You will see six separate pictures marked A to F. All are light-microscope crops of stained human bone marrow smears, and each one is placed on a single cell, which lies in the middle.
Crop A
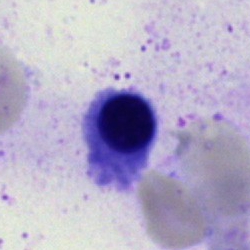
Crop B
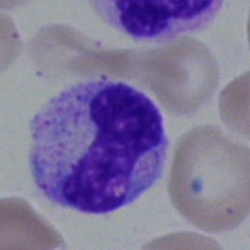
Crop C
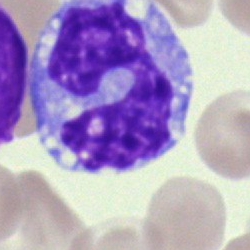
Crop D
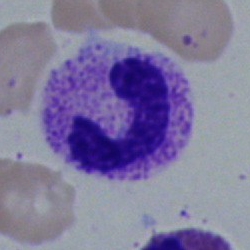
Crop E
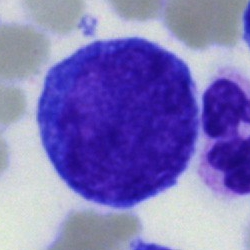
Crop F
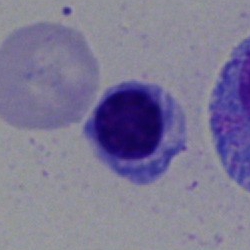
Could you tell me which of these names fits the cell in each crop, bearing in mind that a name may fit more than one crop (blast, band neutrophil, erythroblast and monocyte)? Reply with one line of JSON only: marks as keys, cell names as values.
{"A": "erythroblast", "B": "band neutrophil", "C": "monocyte", "D": "band neutrophil", "E": "blast", "F": "erythroblast"}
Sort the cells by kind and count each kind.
erythroblast: 2
band neutrophil: 2
monocyte: 1
blast: 1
